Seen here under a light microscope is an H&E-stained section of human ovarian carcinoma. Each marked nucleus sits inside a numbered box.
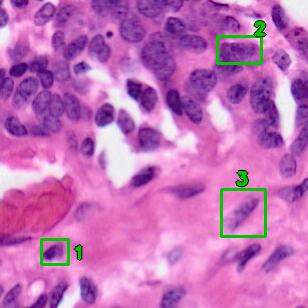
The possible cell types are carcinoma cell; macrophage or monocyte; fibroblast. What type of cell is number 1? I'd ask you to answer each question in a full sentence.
The cell marked with number 1 is a macrophage or monocyte.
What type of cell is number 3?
The cell with the number 3 is a fibroblast.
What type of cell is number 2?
Denoted by the label 2 in the section is a carcinoma cell.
